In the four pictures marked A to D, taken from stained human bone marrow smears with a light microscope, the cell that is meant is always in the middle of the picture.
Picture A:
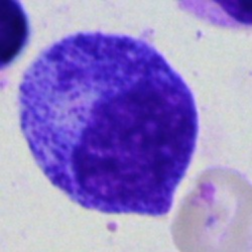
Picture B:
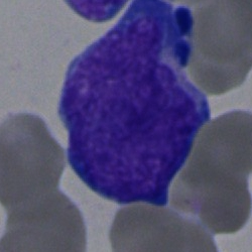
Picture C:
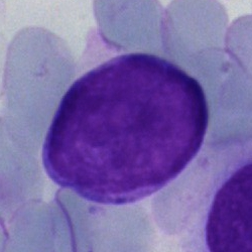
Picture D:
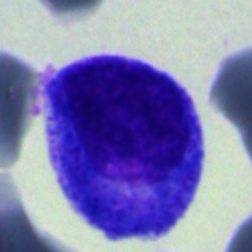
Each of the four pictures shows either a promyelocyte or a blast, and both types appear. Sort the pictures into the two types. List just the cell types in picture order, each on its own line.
promyelocyte
blast
blast
promyelocyte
